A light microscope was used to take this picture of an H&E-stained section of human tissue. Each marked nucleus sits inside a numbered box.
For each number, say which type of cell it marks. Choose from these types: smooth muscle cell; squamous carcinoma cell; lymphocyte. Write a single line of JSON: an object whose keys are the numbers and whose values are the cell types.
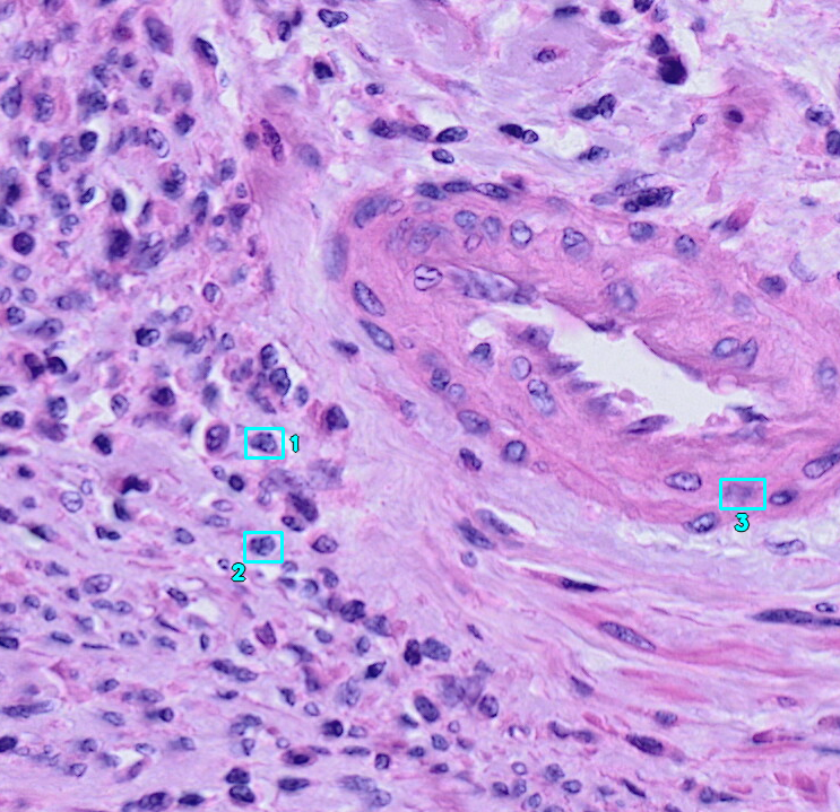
{"1": "lymphocyte", "2": "lymphocyte", "3": "smooth muscle cell"}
